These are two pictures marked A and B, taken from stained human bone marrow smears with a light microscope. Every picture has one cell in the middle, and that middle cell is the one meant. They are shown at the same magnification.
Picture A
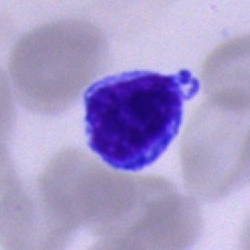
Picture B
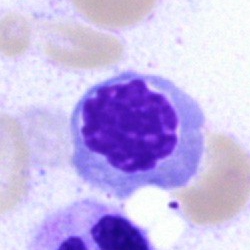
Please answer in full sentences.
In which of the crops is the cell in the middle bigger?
It is the cell in picture B, about 1.5 times as large in area as the cell in picture A.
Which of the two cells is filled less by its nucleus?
It is the cell in picture B that is filled less by its nucleus.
